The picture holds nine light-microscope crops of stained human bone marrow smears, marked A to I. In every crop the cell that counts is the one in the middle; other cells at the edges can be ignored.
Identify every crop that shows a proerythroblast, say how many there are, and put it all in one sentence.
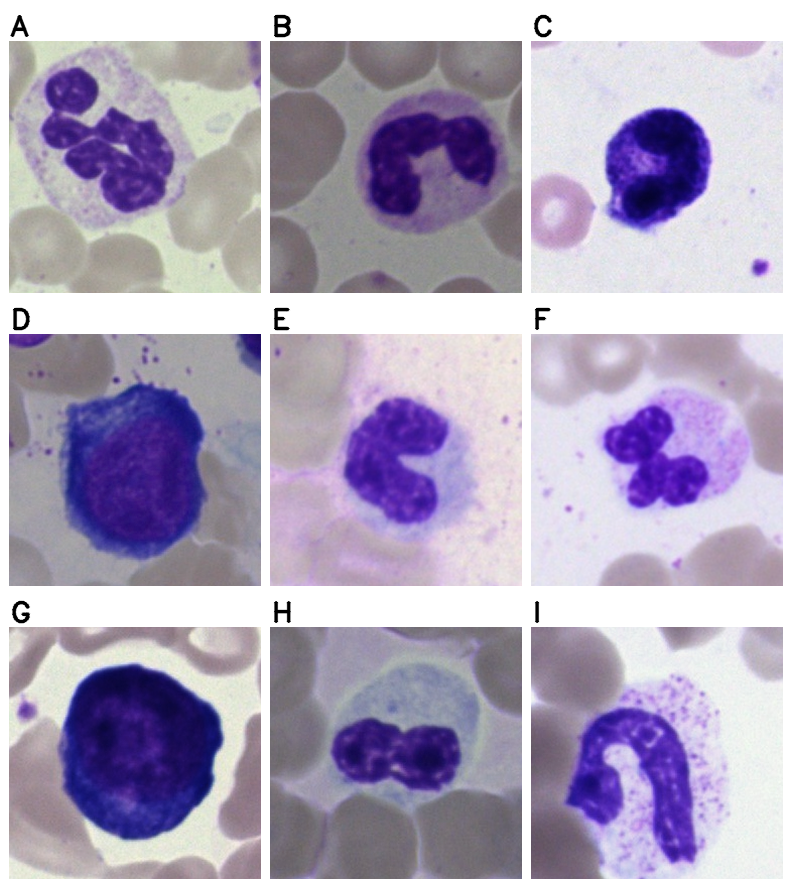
The crops that show proerythroblasts number two and are D and G.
